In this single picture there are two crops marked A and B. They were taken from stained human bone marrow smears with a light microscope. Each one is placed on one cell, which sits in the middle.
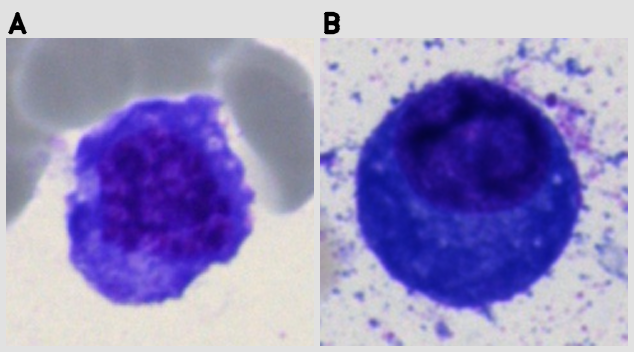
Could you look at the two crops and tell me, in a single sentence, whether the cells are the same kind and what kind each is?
Yes, at the centre of both crops are plasma cells.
